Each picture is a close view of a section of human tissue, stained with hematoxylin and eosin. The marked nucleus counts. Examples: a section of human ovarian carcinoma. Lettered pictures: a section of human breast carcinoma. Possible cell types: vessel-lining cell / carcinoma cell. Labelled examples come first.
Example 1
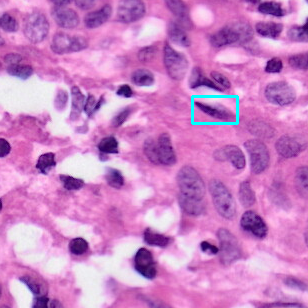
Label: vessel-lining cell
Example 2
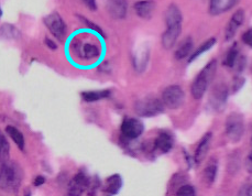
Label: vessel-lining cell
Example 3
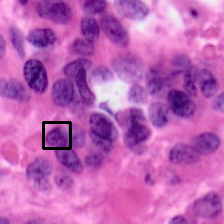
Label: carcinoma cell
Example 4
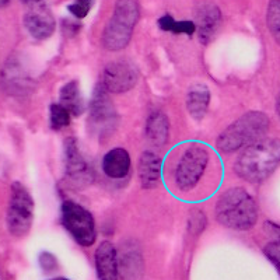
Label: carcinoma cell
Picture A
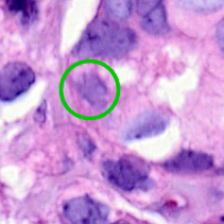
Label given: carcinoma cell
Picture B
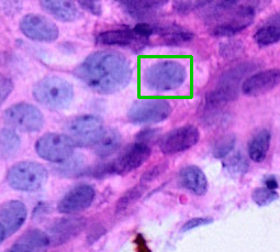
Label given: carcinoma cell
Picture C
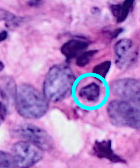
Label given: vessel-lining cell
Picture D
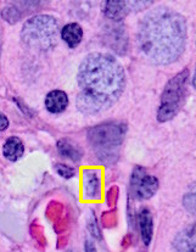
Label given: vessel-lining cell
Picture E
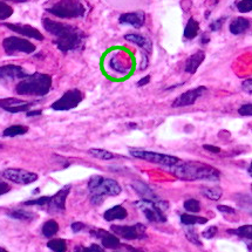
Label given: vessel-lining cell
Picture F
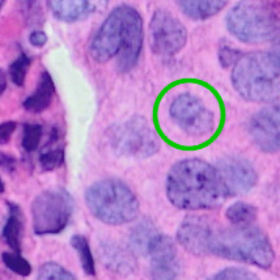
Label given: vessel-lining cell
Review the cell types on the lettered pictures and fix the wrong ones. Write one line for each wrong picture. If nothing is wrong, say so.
C: carcinoma cell, not vessel-lining cell
F: carcinoma cell, not vessel-lining cell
